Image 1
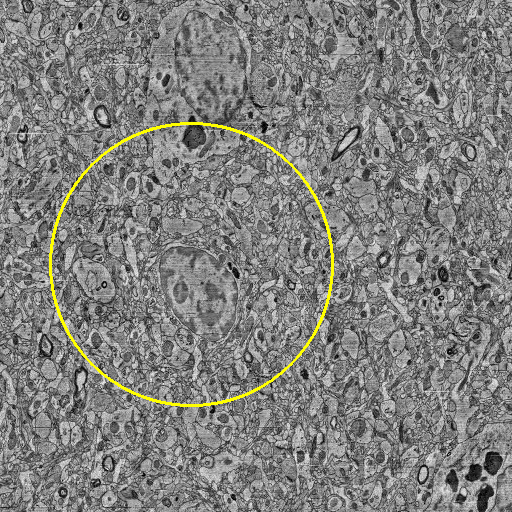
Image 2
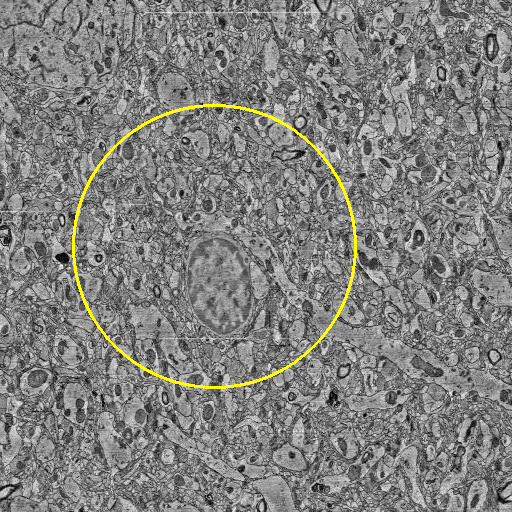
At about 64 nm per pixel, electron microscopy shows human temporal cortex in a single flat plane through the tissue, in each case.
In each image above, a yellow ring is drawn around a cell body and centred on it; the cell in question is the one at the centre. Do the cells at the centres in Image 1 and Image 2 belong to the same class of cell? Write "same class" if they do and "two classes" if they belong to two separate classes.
two classes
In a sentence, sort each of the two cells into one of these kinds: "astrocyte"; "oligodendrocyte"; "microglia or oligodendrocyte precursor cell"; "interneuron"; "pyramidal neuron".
The first of the two cells is a microglial cell or oligodendrocyte precursor cell, and the second is an oligodendrocyte.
